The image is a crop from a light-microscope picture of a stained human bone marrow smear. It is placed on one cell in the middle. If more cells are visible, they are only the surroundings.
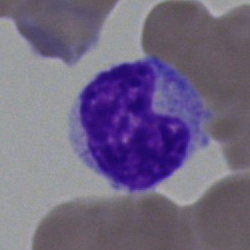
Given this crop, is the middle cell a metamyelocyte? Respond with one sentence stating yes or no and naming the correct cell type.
Yes, the central cell of this crop corresponds to a metamyelocyte.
